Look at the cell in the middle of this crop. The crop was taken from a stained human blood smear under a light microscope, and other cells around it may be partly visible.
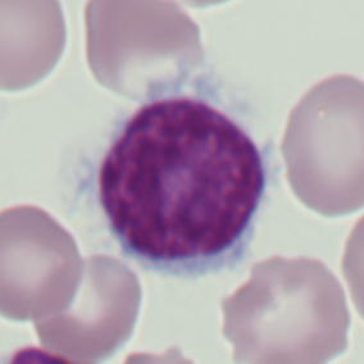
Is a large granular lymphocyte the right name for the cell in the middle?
no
